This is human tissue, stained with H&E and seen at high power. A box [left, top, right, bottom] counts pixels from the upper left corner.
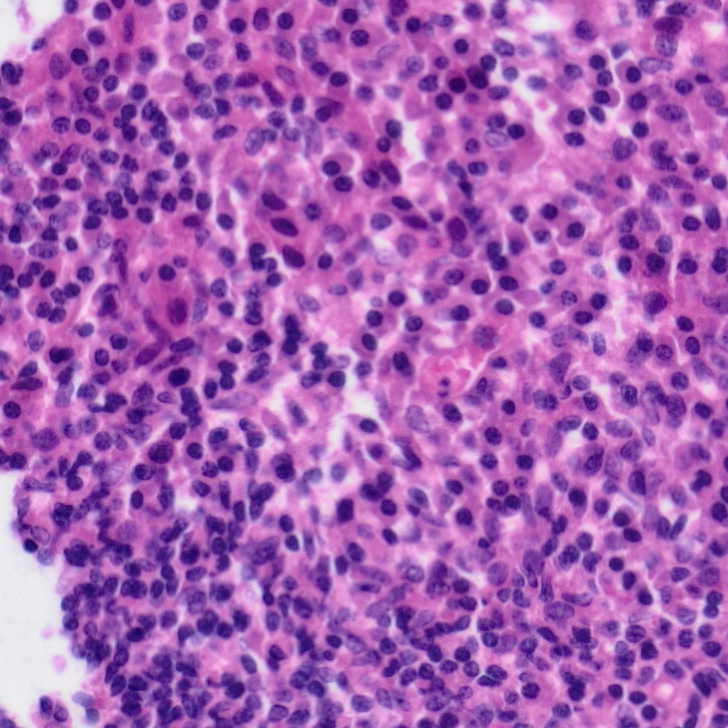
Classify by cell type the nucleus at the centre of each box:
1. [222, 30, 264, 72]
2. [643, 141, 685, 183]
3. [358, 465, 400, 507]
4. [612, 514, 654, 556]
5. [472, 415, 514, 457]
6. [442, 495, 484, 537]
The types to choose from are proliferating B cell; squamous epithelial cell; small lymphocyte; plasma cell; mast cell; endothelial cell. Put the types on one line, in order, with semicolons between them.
plasma cell; squamous epithelial cell; squamous epithelial cell; plasma cell; plasma cell; plasma cell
